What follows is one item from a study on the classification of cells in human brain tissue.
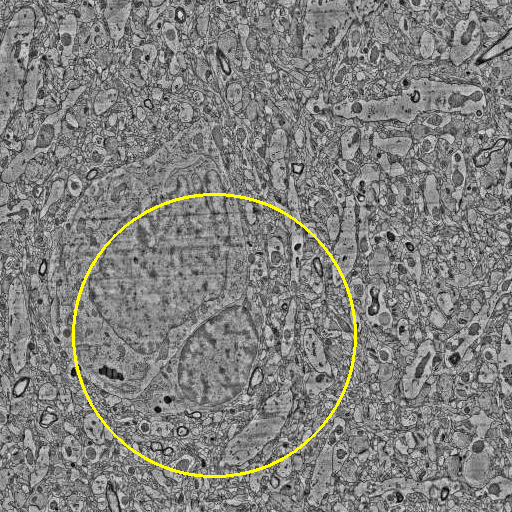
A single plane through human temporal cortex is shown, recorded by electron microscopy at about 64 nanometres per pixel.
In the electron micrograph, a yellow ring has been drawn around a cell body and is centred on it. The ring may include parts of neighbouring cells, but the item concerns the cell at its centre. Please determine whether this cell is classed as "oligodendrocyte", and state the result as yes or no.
yes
